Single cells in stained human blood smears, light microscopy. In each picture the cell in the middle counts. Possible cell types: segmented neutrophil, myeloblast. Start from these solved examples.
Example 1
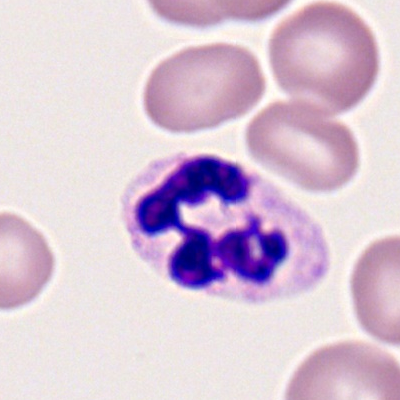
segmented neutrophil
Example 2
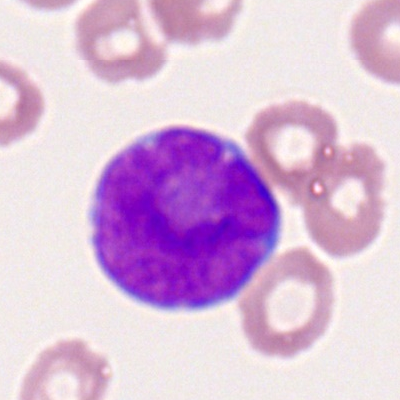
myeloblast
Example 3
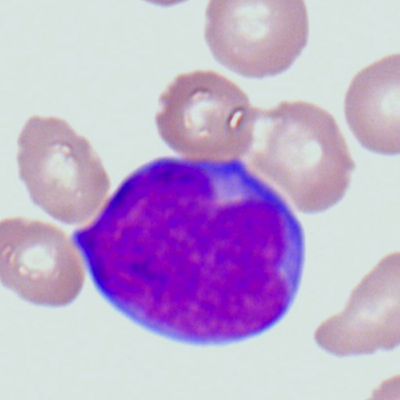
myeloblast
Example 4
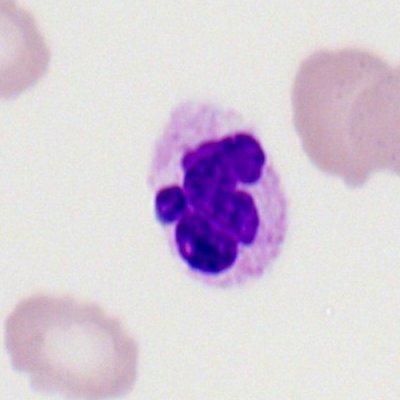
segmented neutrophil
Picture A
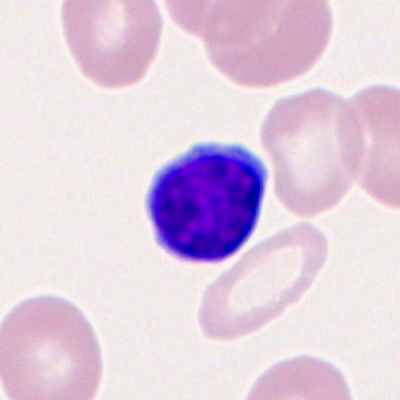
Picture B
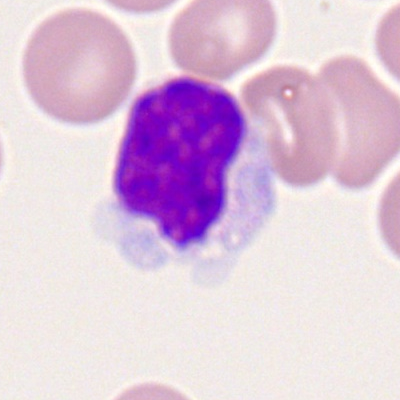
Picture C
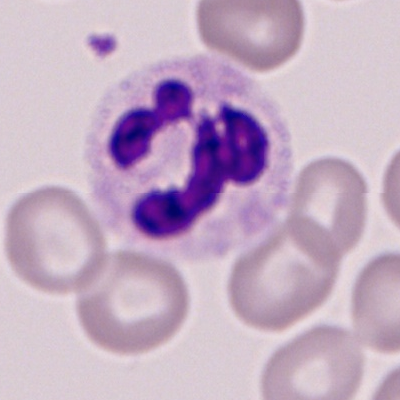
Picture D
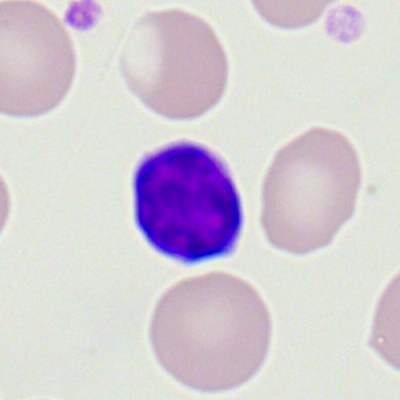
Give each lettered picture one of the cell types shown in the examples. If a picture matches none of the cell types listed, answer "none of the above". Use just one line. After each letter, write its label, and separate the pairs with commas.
A none of the above, B none of the above, C segmented neutrophil, D none of the above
